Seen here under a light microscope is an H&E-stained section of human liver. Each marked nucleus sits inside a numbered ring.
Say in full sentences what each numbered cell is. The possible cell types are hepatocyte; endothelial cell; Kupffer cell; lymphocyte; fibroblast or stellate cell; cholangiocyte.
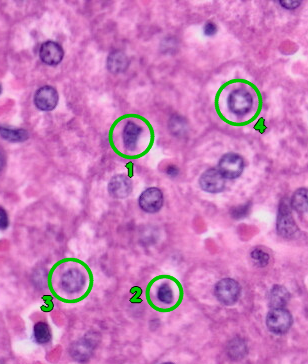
Cell 1 is an endothelial cell. Cell 2 is a lymphocyte. Cells 3 and 4 are hepatocytes.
